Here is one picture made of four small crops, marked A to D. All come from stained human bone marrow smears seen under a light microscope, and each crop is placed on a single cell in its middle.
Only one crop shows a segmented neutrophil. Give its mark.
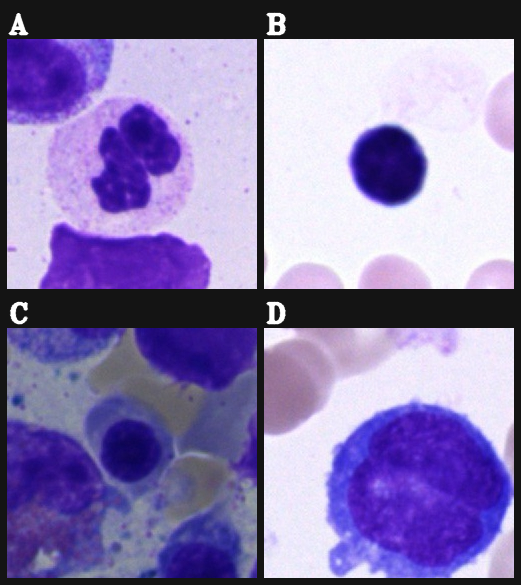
A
